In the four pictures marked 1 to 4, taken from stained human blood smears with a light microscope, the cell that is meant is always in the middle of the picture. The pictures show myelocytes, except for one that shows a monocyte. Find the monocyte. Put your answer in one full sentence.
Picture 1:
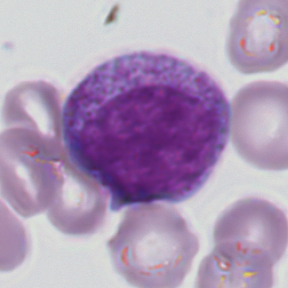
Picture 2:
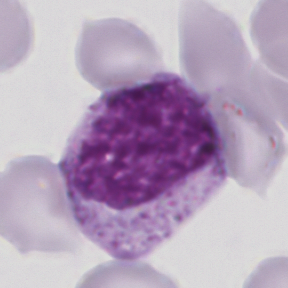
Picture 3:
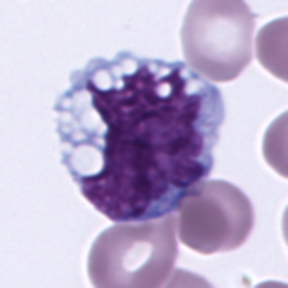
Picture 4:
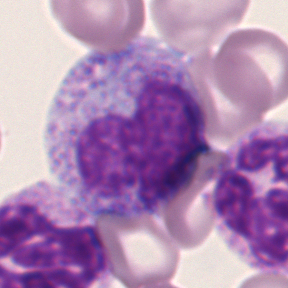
The cell in picture 3 is the monocyte.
